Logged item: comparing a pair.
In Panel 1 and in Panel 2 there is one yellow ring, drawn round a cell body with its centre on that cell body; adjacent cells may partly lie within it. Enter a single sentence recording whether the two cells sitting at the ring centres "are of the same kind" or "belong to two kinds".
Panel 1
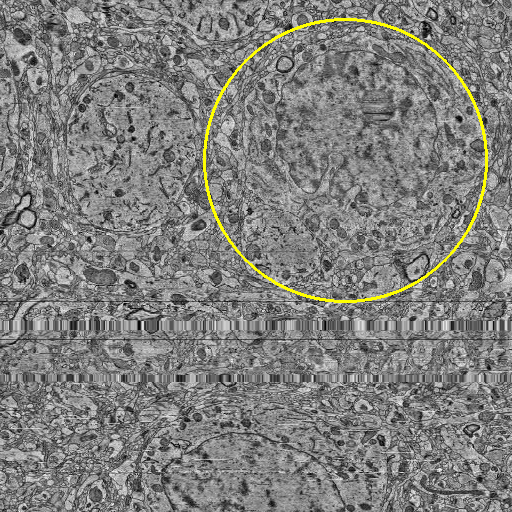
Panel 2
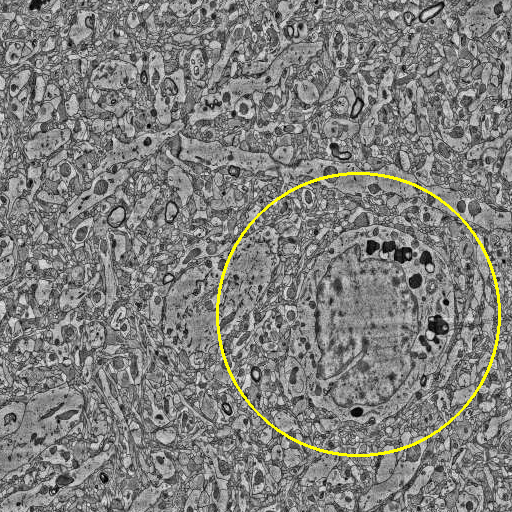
Logged: the cells centred in the rings of Panel 1 and Panel 2 are of the same kind.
